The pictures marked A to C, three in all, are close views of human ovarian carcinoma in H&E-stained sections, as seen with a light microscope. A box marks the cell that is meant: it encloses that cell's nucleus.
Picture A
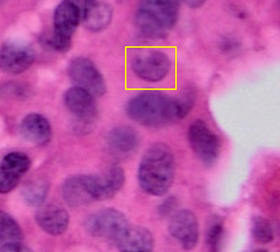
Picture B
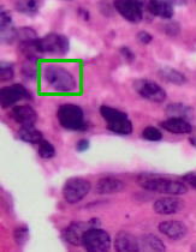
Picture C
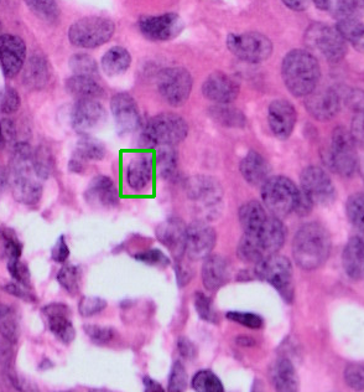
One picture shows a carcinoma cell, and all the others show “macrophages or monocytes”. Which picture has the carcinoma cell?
A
